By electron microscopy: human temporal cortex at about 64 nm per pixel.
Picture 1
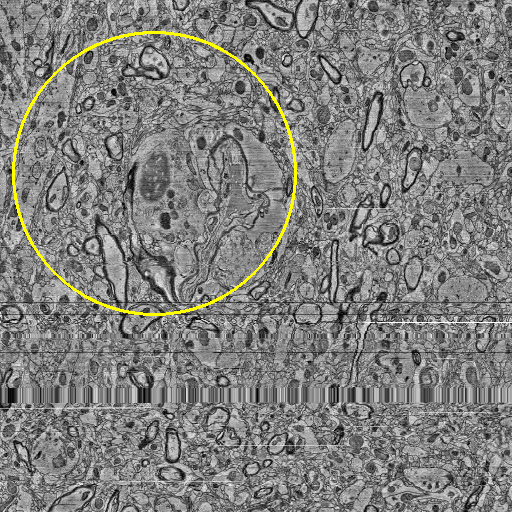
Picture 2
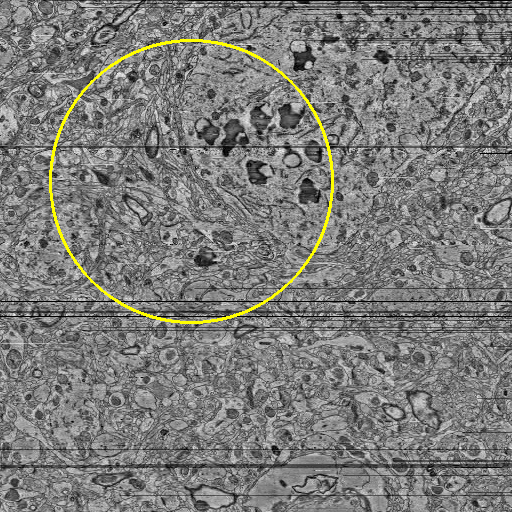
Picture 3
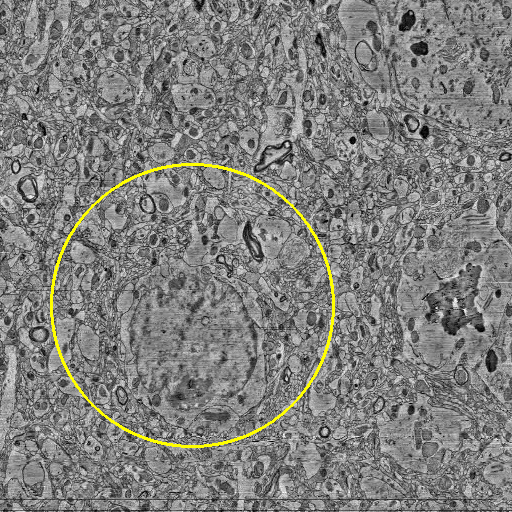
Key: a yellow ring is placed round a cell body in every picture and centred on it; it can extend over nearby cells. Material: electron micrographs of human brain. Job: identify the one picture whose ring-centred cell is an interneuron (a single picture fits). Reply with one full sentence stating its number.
Picture 3 is the one with the sought cell at the centre of its ring.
